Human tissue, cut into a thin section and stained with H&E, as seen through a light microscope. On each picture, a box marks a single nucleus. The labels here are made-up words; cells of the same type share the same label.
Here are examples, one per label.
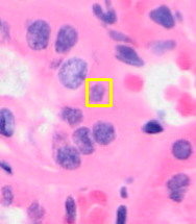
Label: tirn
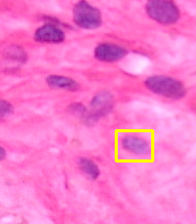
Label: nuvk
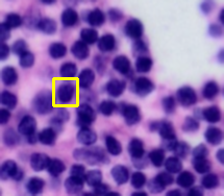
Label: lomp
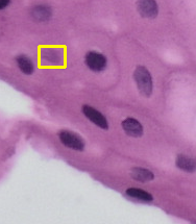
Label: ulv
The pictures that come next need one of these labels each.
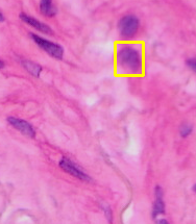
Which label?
nuvk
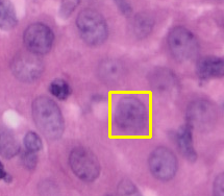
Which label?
ulv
